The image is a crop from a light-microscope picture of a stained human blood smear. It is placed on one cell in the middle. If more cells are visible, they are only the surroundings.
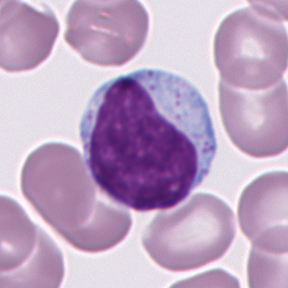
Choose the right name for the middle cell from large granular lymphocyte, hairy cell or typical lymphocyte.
large granular lymphocyte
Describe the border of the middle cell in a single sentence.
Its surface contour is regular and smooth, without any protrusions.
